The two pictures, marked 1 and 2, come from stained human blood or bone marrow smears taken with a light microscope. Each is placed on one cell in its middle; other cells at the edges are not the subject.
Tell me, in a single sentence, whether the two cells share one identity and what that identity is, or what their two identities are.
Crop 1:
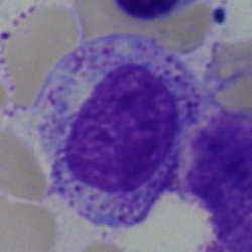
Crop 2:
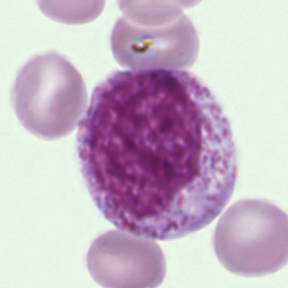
Yes, both crops are centred on myelocytes.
